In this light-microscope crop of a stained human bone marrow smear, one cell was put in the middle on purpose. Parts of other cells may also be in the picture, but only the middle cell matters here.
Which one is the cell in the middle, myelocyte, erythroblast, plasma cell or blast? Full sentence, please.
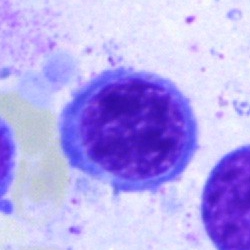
The cell in the exact centre of the crop is an erythroblast.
